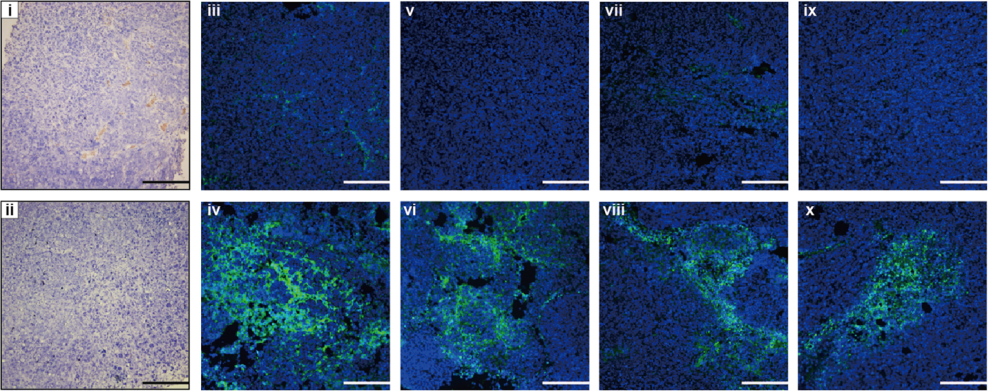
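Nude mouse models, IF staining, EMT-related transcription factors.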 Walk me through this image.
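These are sections of tumor tissue shown in two rows of matching fields. In the fluorescence fields the nuclei appear as a dense carpet of blue dots filling each field, interrupted by a few small dark spaces. Green labelling is faint and sparse in one row, while in the other row it is bright and gathers in broad, irregular bands and patches that wind across the tumor cell sheets.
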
